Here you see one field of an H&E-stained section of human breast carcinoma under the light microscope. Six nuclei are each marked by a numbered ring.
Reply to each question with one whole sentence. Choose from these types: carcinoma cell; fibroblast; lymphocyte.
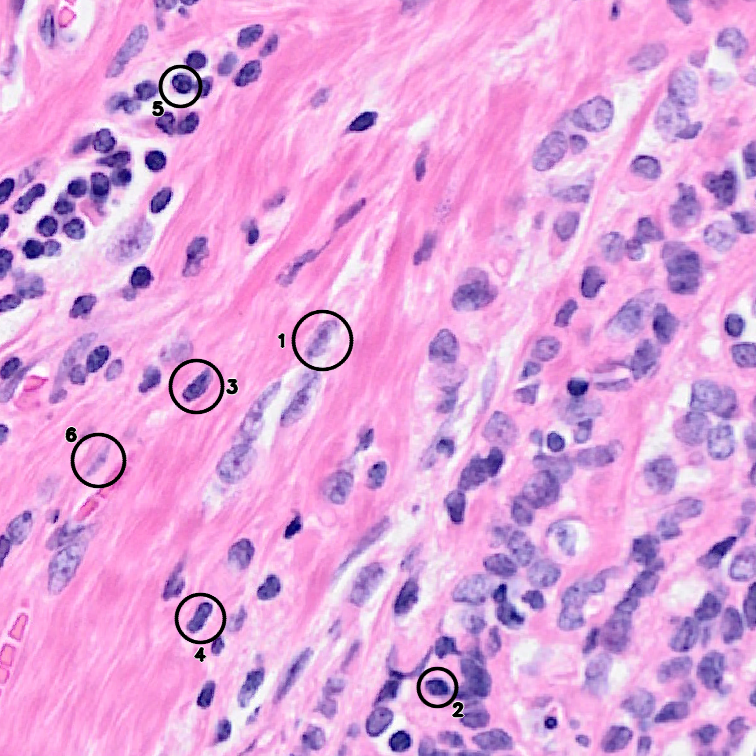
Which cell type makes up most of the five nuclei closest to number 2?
Around number 2, most of the five nearest nuclei are those of carcinoma cells.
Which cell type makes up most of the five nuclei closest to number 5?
Lymphocytes account for more than half of the five nuclei nearest to number 5.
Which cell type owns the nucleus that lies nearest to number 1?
Closest to number 1 lies the nucleus of a fibroblast.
